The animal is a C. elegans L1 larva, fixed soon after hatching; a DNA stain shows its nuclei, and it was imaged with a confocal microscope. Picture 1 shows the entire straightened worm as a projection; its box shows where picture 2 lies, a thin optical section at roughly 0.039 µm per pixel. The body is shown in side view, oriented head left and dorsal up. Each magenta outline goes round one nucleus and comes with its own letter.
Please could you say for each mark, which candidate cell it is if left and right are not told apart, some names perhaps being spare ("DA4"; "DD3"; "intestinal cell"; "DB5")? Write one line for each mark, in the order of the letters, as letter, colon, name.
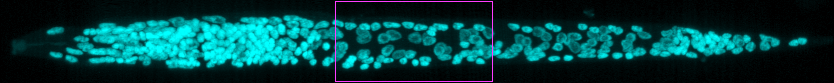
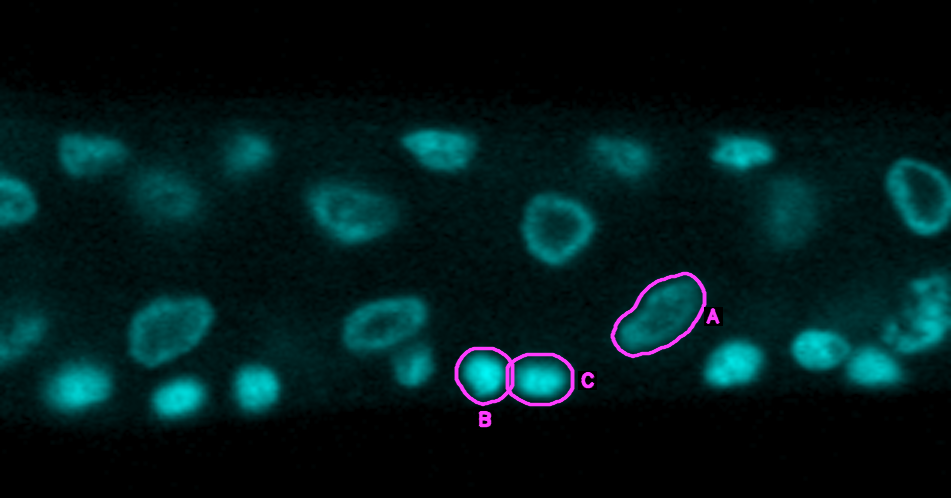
A: intestinal cell
B: DA4
C: DD3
